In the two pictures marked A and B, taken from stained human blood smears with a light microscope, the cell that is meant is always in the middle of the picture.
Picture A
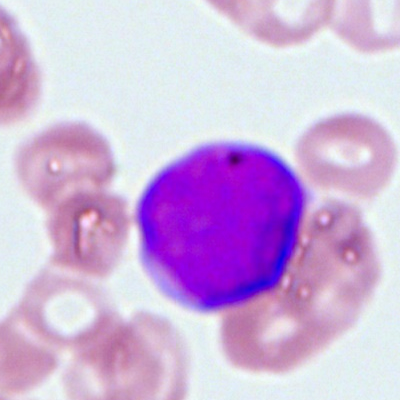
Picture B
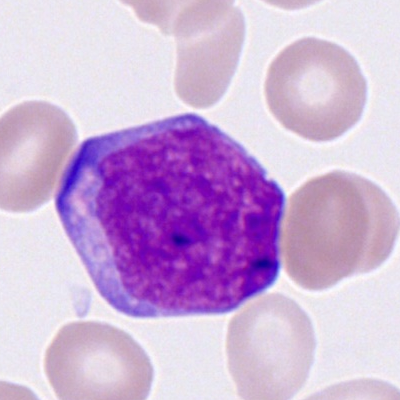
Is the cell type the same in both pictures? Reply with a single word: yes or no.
yes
